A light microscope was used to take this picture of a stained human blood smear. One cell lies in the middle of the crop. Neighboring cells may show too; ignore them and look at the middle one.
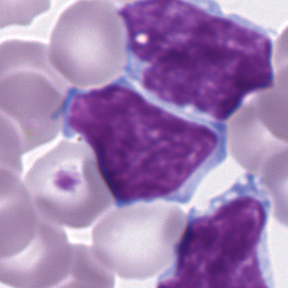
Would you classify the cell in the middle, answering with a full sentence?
The cell nearest the centre of this crop is a lymphocyte.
